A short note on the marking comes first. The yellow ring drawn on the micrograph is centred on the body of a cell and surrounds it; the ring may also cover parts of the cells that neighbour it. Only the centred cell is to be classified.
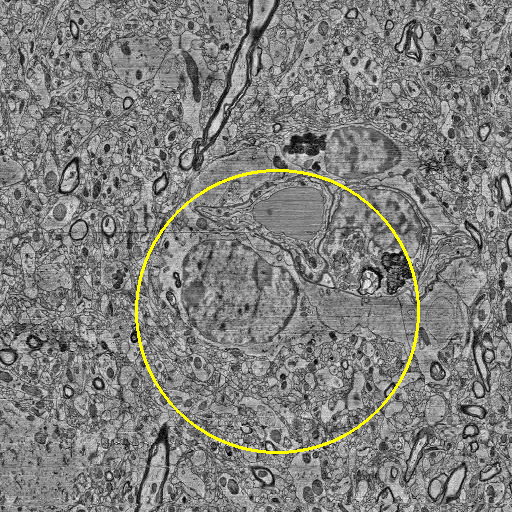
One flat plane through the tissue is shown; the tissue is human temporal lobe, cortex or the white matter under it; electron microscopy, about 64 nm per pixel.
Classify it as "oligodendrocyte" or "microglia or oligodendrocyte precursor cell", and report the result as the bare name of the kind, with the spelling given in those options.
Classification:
microglia or oligodendrocyte precursor cell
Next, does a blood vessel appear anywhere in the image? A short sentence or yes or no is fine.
Yes, there is a blood vessel.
